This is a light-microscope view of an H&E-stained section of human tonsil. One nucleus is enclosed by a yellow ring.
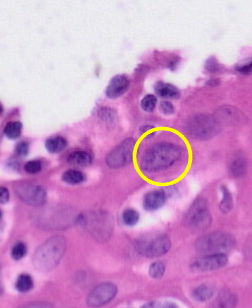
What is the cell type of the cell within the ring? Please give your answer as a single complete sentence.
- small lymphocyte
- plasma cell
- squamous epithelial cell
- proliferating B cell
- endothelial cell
In this field of tissue, the cell within the ring is a squamous epithelial cell.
